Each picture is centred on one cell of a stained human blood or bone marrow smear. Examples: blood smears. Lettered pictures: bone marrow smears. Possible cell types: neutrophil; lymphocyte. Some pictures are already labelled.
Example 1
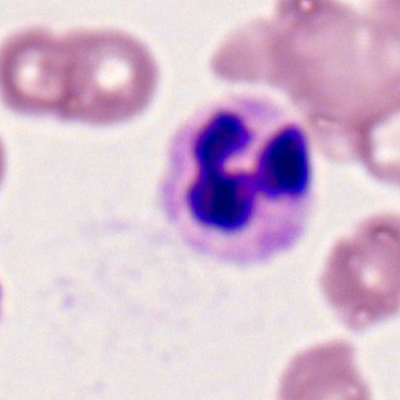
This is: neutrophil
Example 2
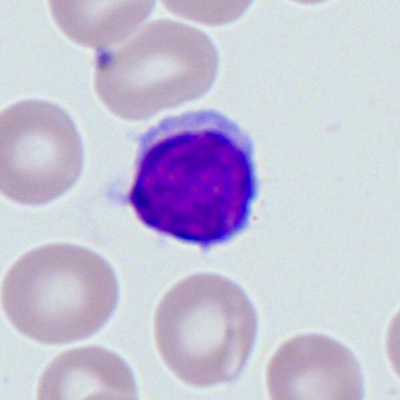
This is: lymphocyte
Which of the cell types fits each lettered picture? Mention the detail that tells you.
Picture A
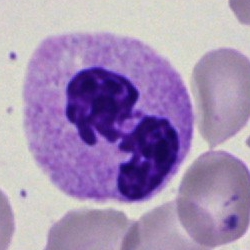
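neutrophil. Evidence: The cytoplasm is abundant and pale pinkish-lilac.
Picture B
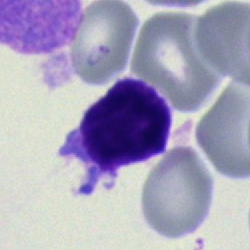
lymphocyte. Evidence: The nucleus fills almost the whole cell, leaving very little cytoplasm around it.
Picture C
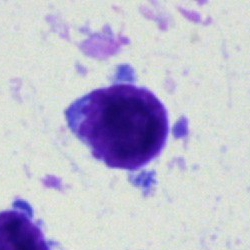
lymphocyte. Evidence: The nucleus fills almost the whole cell, leaving very little cytoplasm.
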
